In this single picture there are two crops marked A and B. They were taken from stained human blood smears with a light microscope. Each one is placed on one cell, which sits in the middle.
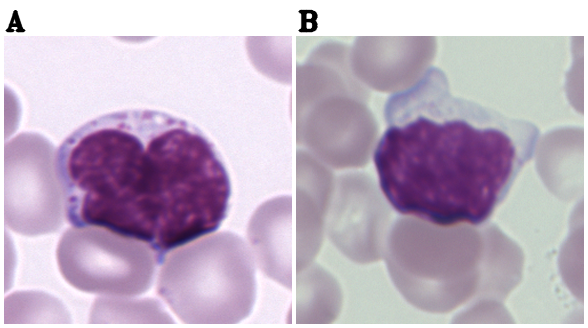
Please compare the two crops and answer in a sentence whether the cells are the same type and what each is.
Yes, the central cells in both of the crops are large granular lymphocytes.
